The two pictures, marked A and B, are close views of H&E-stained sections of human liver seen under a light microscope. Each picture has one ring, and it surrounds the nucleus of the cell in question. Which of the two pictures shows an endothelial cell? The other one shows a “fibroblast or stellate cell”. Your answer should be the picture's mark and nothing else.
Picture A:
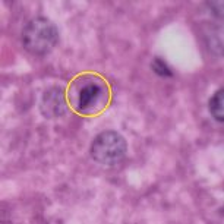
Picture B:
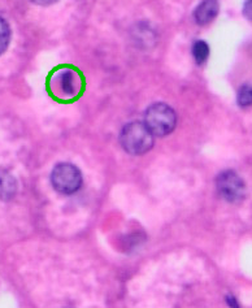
B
